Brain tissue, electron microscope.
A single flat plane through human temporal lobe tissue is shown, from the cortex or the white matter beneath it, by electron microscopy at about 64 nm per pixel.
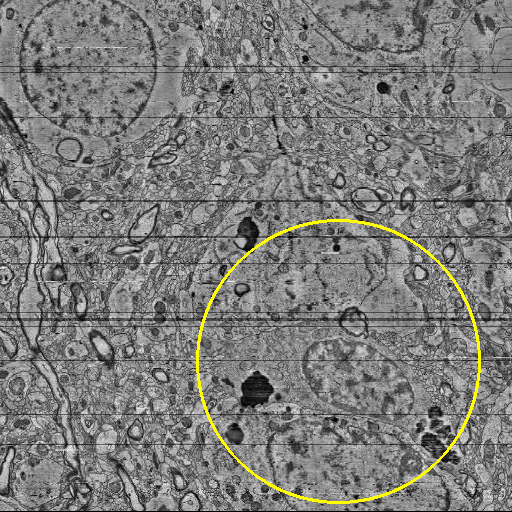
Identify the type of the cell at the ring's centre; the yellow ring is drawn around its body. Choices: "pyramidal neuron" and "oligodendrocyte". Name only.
oligodendrocyte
